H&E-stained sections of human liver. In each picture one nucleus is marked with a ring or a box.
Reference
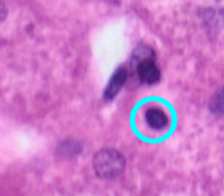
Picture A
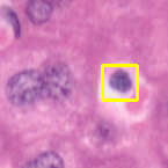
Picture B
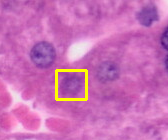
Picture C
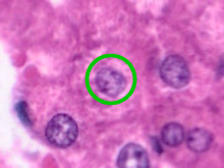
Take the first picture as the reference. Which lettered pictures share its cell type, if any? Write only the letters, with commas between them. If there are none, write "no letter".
A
